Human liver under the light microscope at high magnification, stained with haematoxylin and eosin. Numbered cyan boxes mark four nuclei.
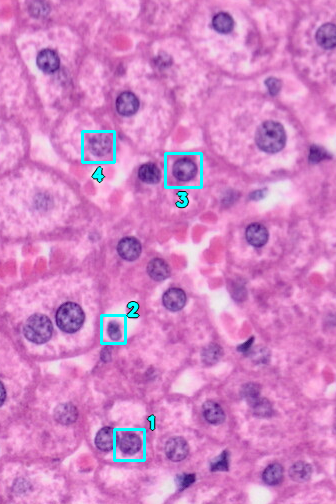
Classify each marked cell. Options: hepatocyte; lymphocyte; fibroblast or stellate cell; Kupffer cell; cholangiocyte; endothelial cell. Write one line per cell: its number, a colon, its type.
1: hepatocyte
2: lymphocyte
3: hepatocyte
4: hepatocyte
